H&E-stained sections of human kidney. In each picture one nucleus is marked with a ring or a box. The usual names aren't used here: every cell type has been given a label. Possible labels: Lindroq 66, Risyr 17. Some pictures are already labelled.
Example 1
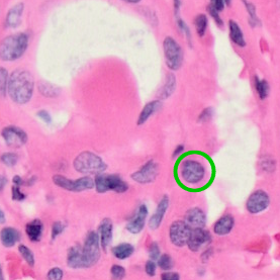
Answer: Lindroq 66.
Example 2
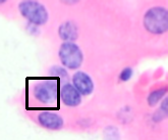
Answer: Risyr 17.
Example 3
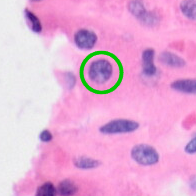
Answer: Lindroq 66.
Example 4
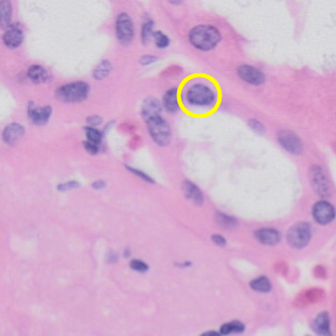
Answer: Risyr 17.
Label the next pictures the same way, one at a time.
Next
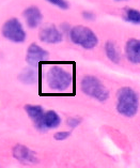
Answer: Risyr 17.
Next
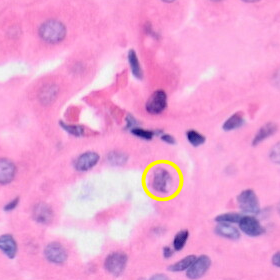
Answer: Lindroq 66.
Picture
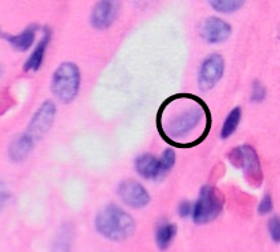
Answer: Risyr 17.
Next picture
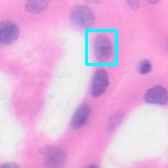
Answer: Lindroq 66.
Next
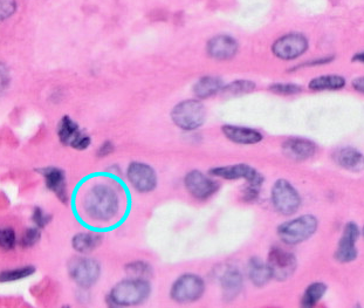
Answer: Risyr 17.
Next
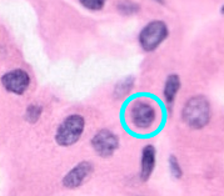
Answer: Lindroq 66.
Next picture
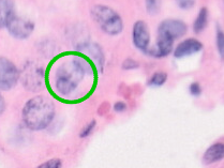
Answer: Risyr 17.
